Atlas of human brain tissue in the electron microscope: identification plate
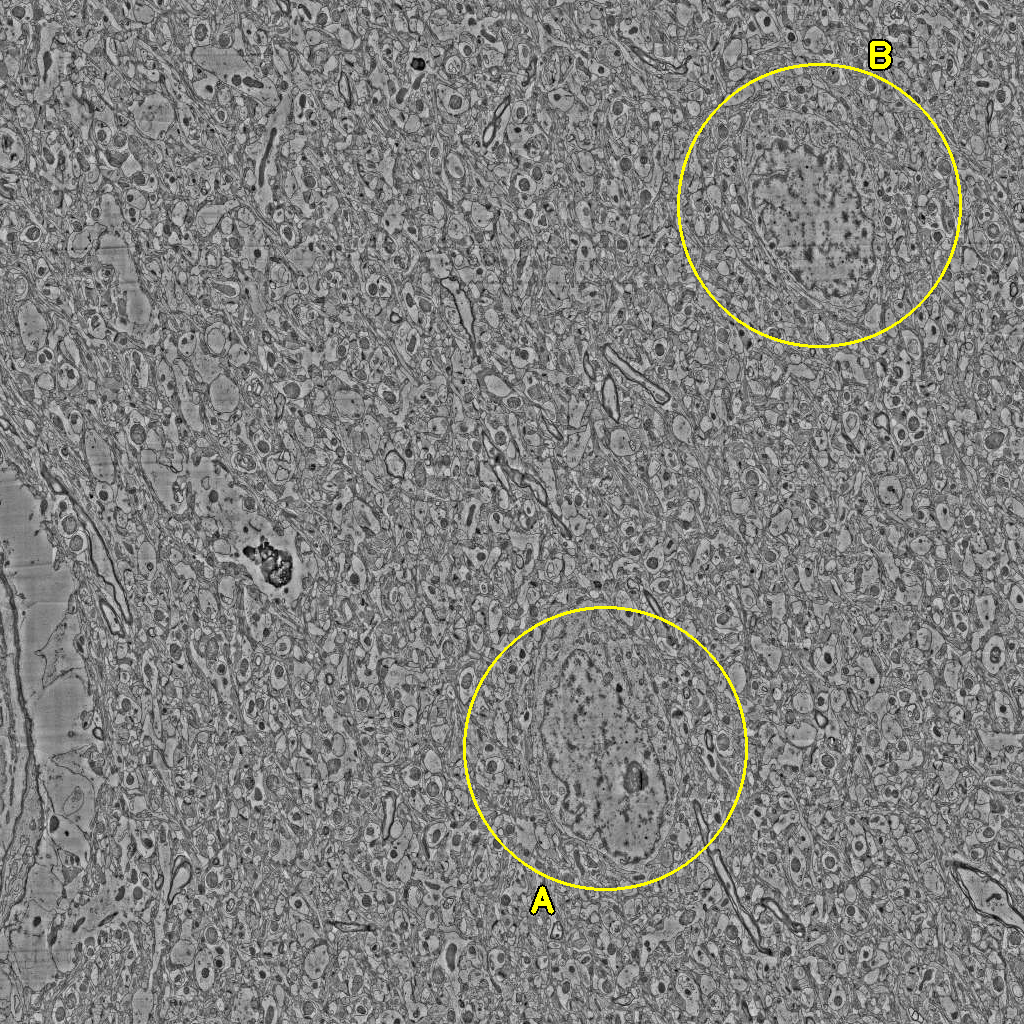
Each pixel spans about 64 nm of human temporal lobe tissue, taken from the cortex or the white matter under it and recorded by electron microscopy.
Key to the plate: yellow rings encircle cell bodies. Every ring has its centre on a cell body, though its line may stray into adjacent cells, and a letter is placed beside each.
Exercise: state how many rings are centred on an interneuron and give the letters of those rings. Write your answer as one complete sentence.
Identified by the letters A and B, two rings are each centred on an interneuron.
